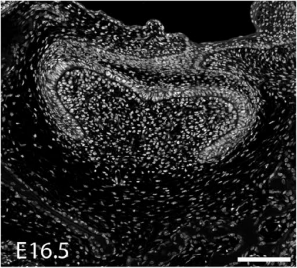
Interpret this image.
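Molar tooth germ with dental epithelium and dental mesenchyme, nuclei shown white on a dark ground. The epithelium forms a folded cap of tightly packed, elongated nuclei whose two arms reach downward at the sides. Within the concavity of the cap the mesenchymal nuclei of the papilla are densely packed and rounded. Outside the epithelium the surrounding mesenchyme has more widely spaced nuclei, some elongated and aligned around the germ. The overlying tissue above the cap also carries a band of denser nuclei.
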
